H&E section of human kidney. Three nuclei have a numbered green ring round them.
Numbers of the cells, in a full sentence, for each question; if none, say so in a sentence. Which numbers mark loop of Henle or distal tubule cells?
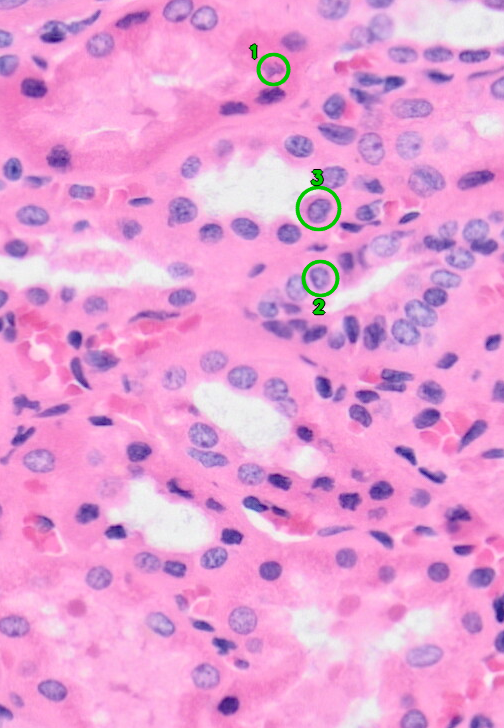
Being a loop of Henle or distal tubule cell is true of cell 3 and of no other numbered cell.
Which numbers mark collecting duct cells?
Among the marked cells, cell number 2 alone is a collecting duct cell.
